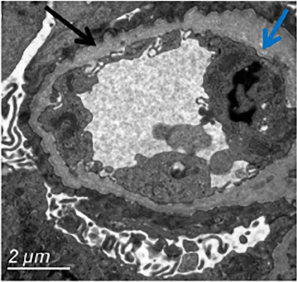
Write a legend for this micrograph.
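This electron micrograph shows a glomerular capillary loop whose pale, finely granular lumen is surrounded by a grey basement membrane. The membrane band is not of even width: it is thinner in some stretches and thicker in others, with an uneven outline. On its outer side the epithelial covering forms a largely continuous sheet rather than a row of separate small foot processes. A cell with a dark, irregular nucleus lies within the wall of the loop at the right side. Beyond the loop, the urinary space appears as pale clefts bordered by folded cell membranes.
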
